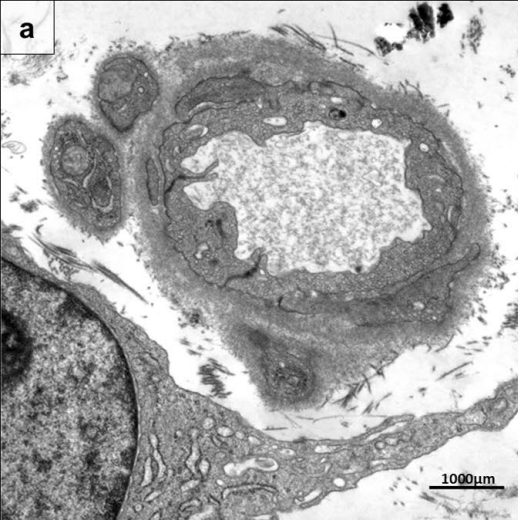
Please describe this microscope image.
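A capillary in cross-section with a wide lumen lined by endothelium whose cytoplasm contains many small vesicles, surrounded by a markedly thickened, grey, amorphous basement membrane in which small cell process profiles are embedded. Below and to the left lies a fibroblast with a large nucleus and a long, flattened process running along the capillary, its cytoplasm containing rough endoplasmic reticulum.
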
